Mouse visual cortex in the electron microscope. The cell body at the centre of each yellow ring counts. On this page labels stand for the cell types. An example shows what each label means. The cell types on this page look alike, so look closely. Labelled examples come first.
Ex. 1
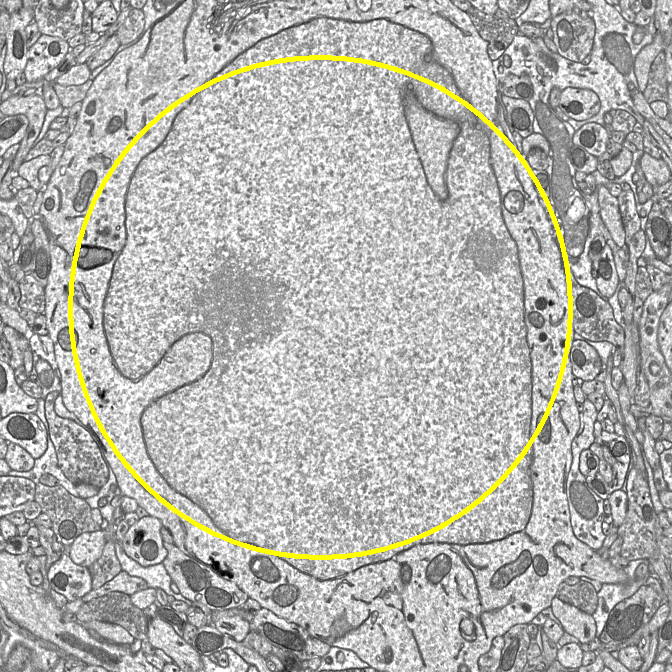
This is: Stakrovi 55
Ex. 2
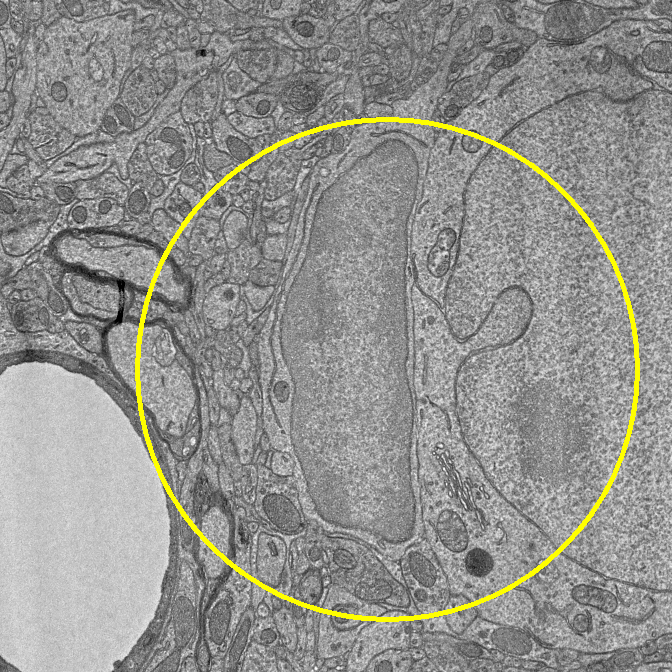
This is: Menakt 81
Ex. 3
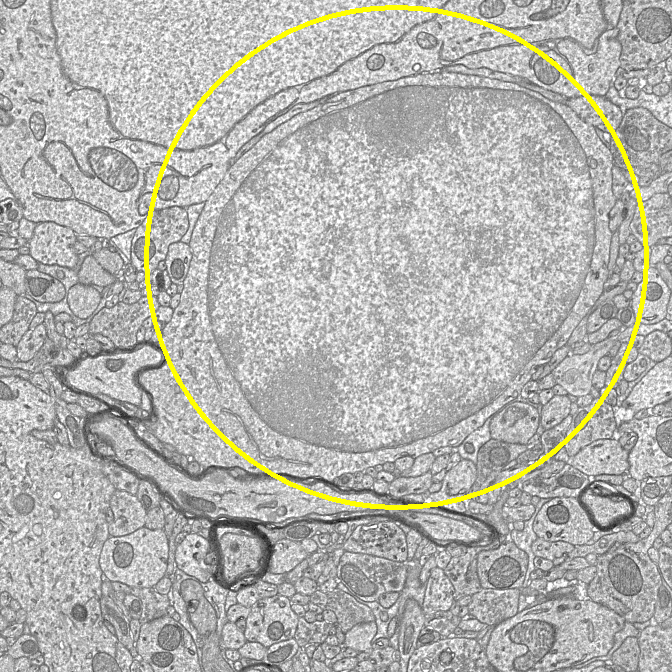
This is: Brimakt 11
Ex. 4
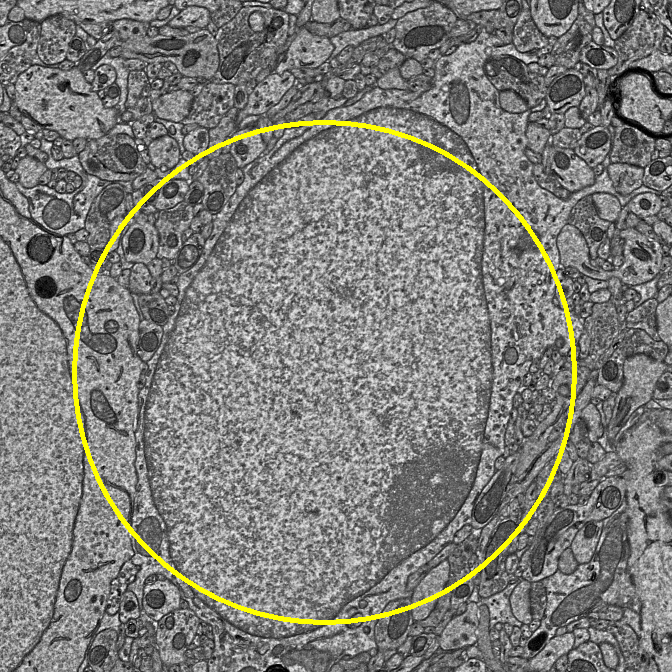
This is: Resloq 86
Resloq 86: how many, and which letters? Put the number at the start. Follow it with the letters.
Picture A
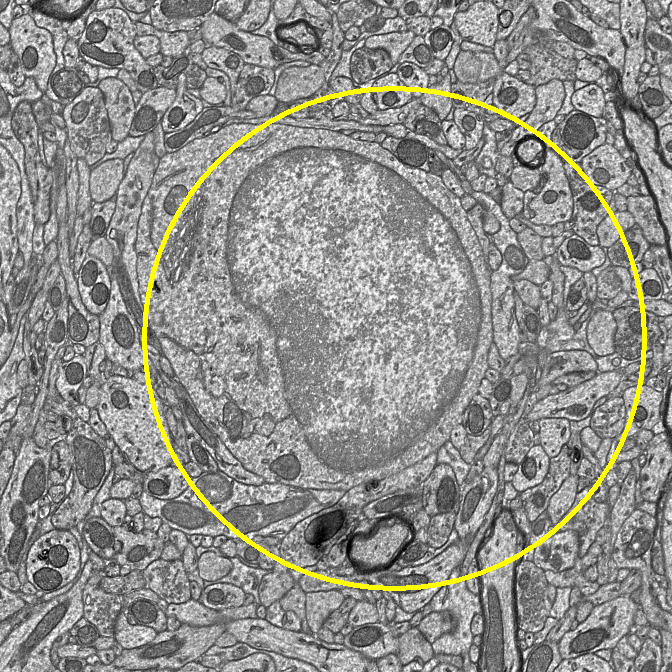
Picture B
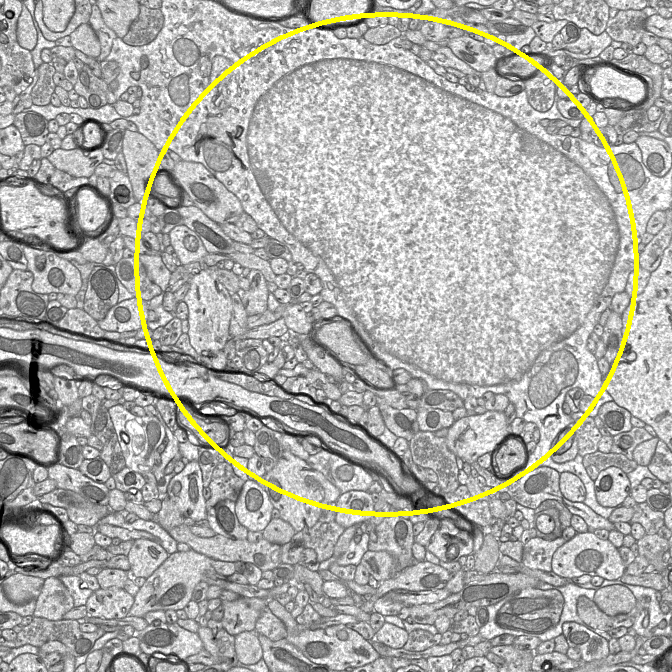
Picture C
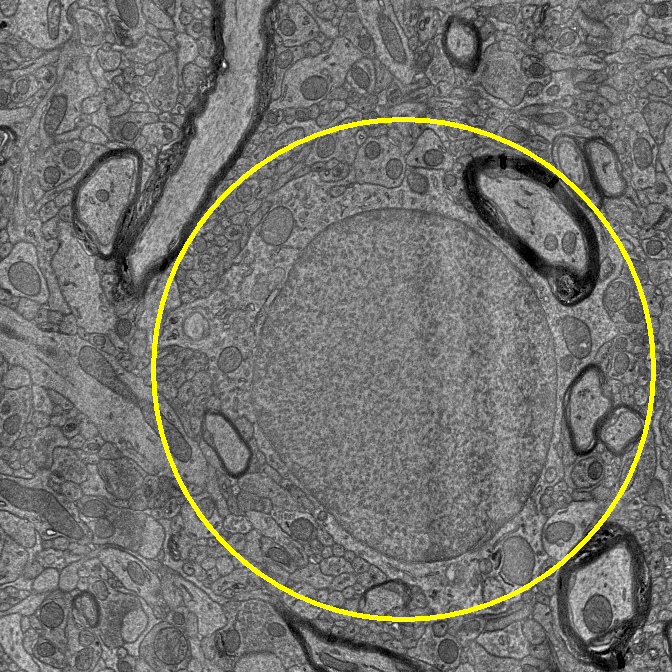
2: B, C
